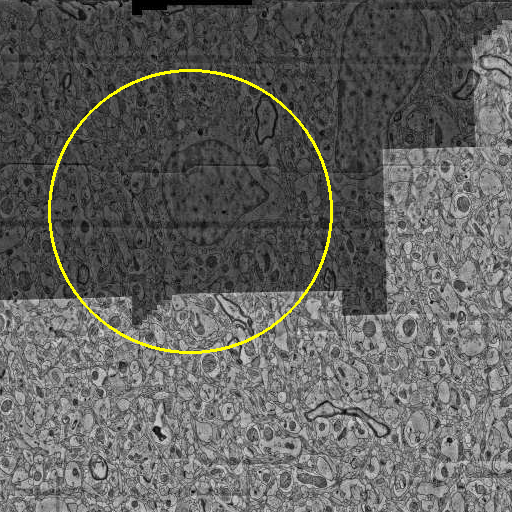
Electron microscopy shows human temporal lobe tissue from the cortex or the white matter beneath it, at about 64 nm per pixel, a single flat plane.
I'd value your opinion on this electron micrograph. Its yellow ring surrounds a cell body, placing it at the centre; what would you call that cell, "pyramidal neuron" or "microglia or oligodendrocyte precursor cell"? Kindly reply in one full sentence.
It is a microglial cell or oligodendrocyte precursor cell that sits centred within the yellow ring in this micrograph.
